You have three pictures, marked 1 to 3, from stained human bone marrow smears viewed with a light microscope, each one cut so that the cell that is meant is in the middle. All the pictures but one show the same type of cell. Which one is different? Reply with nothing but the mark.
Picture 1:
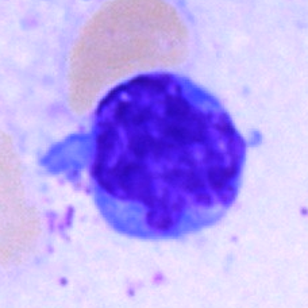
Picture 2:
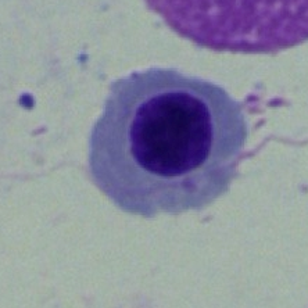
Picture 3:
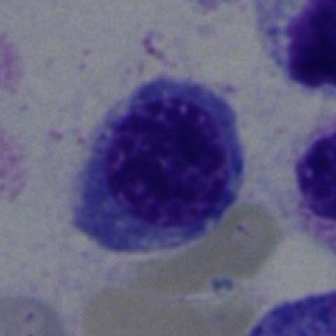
1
